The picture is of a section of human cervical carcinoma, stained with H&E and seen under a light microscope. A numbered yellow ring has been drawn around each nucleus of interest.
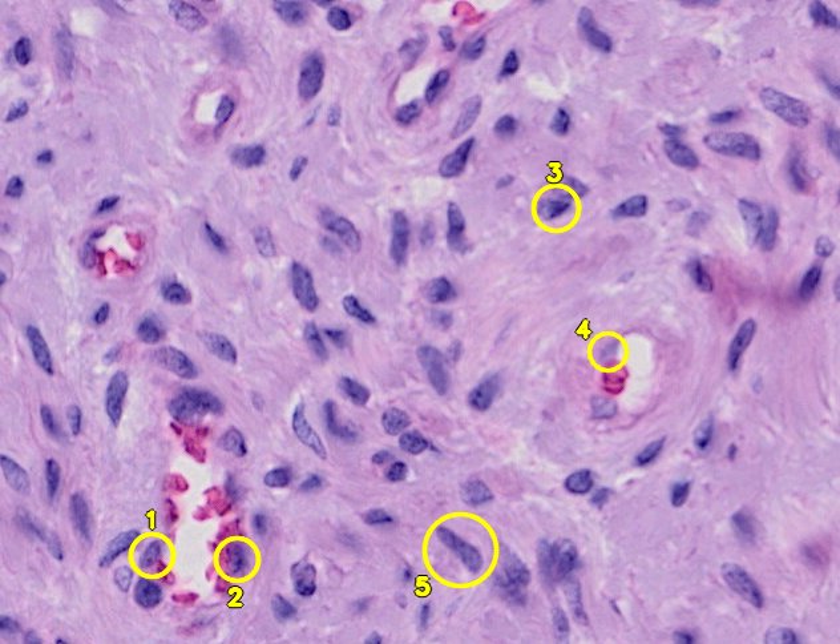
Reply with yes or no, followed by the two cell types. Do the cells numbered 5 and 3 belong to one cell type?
Yes, cells 5 and 3 are, both of them, fibroblasts.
